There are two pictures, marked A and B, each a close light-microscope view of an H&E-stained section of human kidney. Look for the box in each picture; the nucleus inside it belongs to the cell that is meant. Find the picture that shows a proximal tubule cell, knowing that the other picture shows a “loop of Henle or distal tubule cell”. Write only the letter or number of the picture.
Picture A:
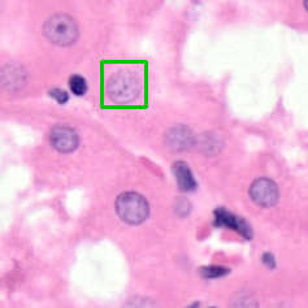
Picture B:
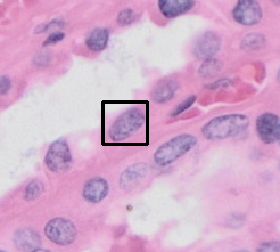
A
